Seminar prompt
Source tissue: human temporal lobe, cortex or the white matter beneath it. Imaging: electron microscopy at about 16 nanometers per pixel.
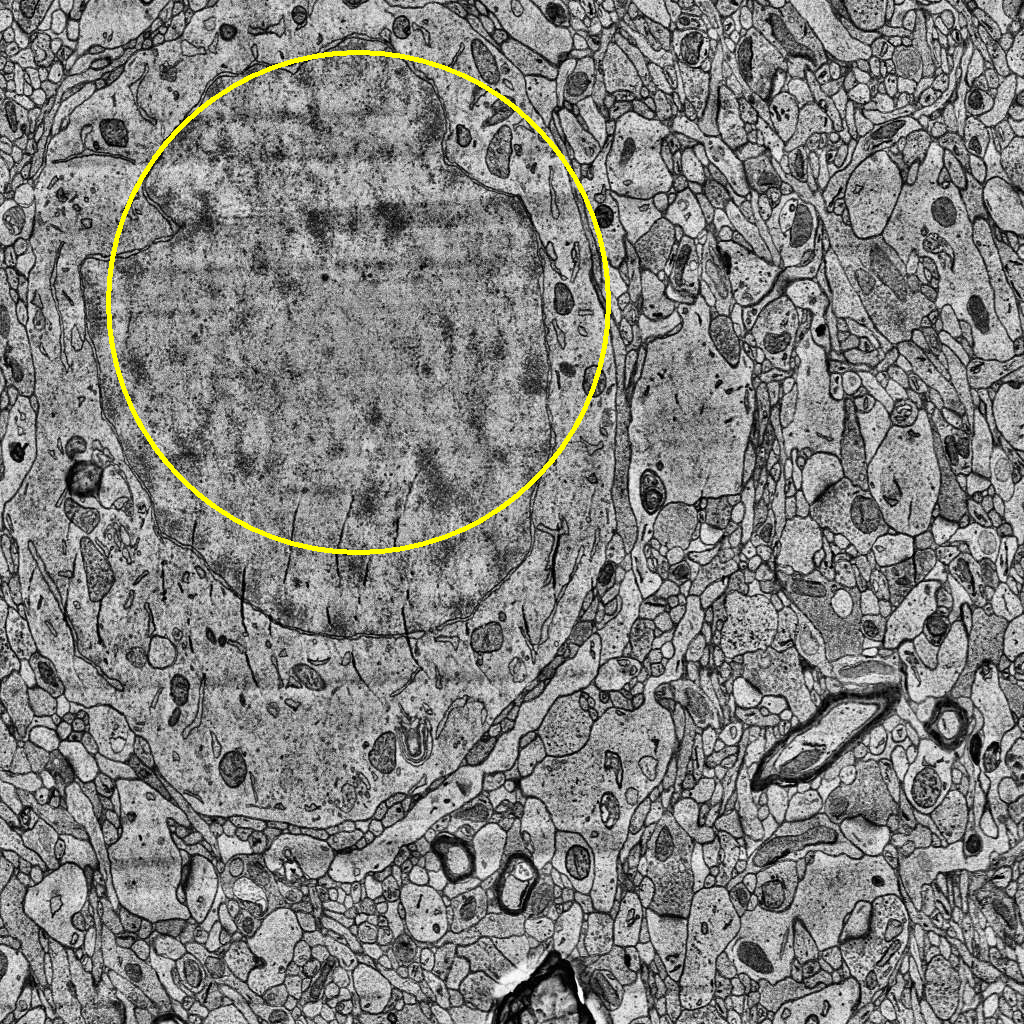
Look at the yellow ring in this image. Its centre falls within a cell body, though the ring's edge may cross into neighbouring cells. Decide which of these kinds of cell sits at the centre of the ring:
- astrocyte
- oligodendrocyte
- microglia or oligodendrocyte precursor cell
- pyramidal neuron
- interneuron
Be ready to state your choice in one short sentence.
The kind of cell at the ring's centre is an interneuron.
